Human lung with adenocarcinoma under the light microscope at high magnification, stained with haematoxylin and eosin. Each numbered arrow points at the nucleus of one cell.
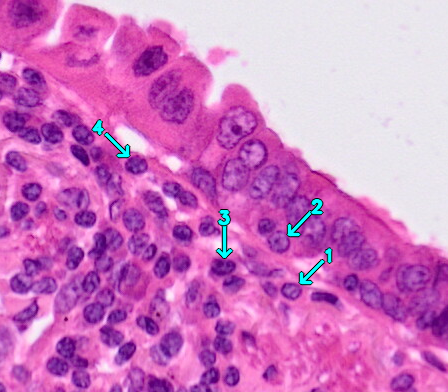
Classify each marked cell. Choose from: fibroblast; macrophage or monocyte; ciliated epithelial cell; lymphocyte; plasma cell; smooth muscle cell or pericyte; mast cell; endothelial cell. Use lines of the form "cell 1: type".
cell 1: mast cell
cell 2: ciliated epithelial cell
cell 3: plasma cell
cell 4: lymphocyte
